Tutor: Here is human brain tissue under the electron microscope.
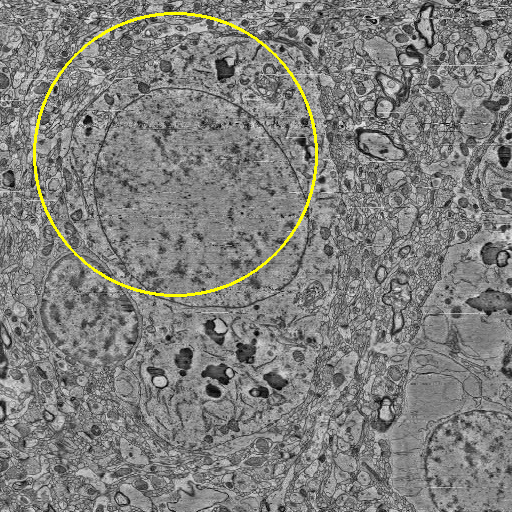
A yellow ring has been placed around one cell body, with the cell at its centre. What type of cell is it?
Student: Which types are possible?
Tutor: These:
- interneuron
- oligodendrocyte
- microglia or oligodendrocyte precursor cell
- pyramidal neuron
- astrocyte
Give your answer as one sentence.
What the ring picks out here is a pyramidal neuron.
